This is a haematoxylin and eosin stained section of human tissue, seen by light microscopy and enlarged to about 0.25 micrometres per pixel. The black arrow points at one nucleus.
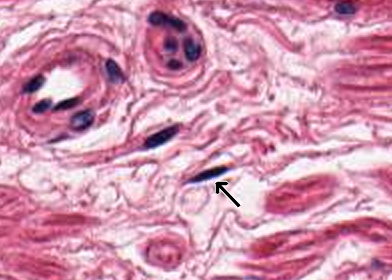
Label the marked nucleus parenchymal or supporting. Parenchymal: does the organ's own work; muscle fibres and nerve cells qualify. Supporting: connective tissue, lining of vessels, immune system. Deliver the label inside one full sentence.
Here the marked nucleus is the nucleus of a supporting cell.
